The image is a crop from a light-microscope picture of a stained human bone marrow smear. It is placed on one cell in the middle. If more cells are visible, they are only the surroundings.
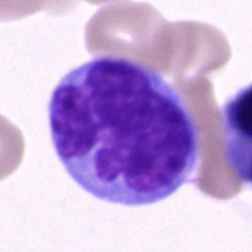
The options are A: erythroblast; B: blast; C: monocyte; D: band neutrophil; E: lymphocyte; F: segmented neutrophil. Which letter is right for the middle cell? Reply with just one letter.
C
